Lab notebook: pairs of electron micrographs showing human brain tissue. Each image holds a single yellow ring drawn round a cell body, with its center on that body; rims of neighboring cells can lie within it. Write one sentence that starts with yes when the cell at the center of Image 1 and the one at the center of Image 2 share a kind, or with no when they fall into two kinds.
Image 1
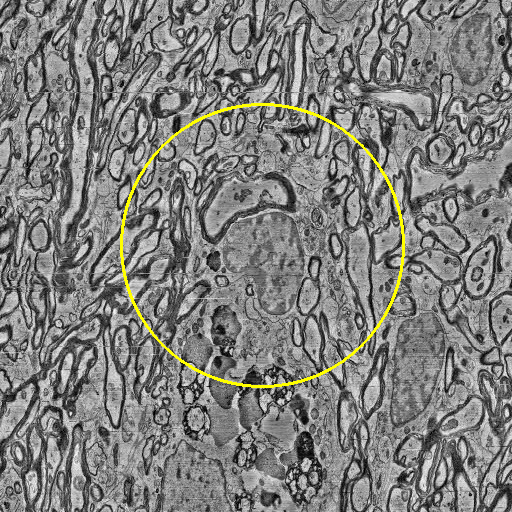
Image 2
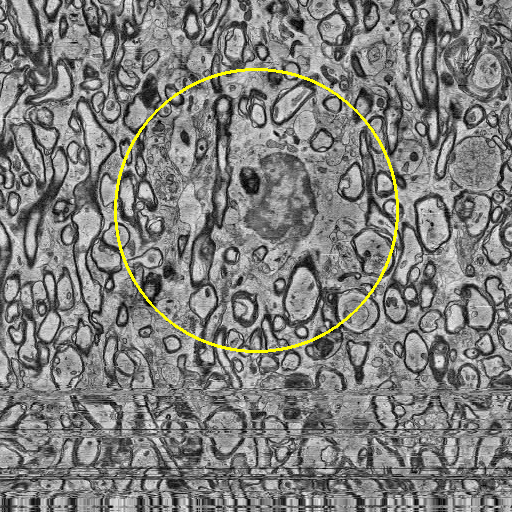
Yes, the centered cell in Image 1 and the centered cell in Image 2 are of one kind.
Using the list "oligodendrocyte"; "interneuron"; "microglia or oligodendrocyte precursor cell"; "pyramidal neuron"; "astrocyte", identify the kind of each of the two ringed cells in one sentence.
Each of the two cells is a microglial cell or oligodendrocyte precursor cell.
